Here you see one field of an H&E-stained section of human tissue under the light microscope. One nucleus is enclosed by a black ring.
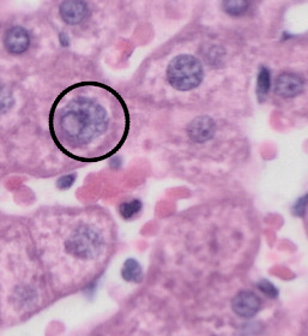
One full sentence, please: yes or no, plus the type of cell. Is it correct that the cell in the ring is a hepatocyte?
Yes, the cell in the ring is, by its type, a hepatocyte.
